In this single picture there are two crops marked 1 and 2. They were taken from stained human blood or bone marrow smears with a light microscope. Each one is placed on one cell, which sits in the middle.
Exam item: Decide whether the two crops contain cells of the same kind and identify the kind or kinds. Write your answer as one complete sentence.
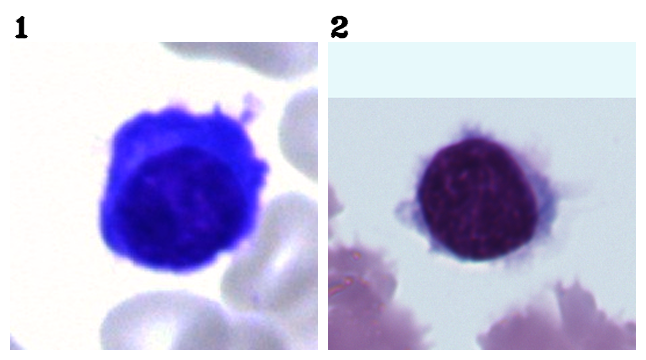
No, crop 1 shows a plasma cell and crop 2 a hairy cell.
